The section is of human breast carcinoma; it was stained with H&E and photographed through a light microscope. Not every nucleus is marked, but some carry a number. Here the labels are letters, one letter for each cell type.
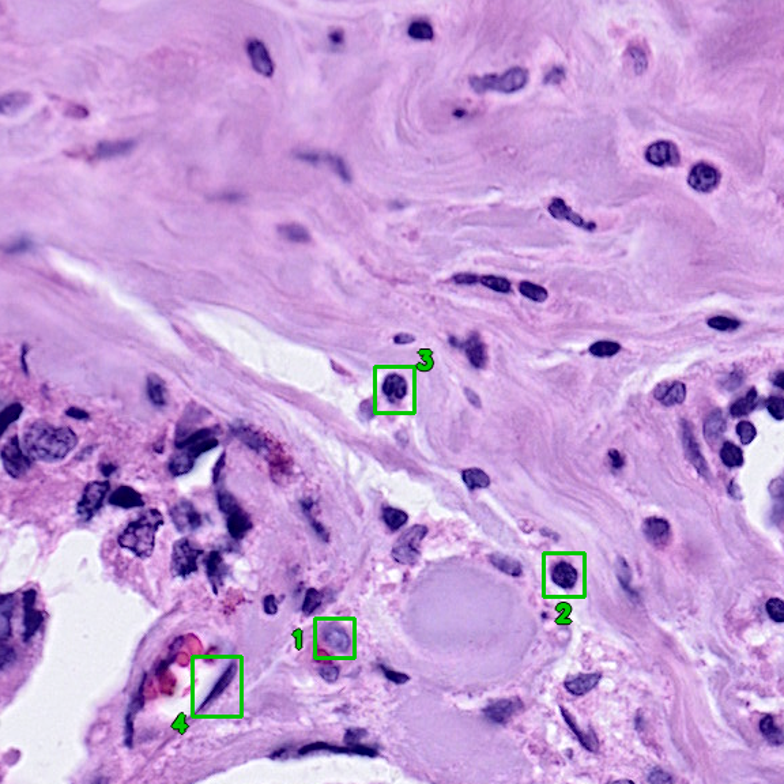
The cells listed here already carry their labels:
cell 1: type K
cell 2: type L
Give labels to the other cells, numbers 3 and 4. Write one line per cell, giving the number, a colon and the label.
3: type L
4: type K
